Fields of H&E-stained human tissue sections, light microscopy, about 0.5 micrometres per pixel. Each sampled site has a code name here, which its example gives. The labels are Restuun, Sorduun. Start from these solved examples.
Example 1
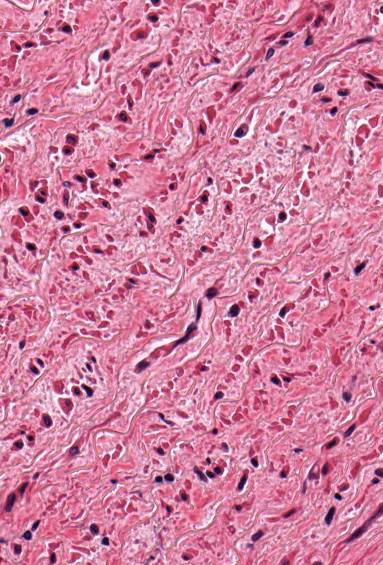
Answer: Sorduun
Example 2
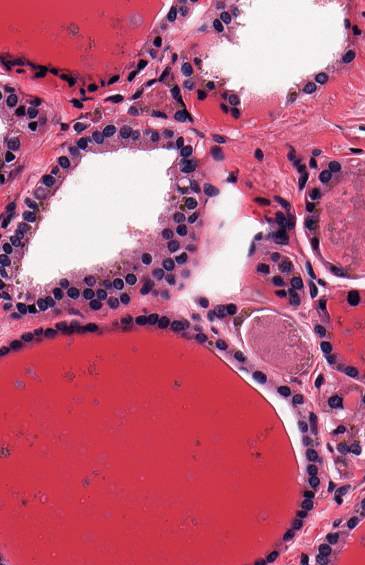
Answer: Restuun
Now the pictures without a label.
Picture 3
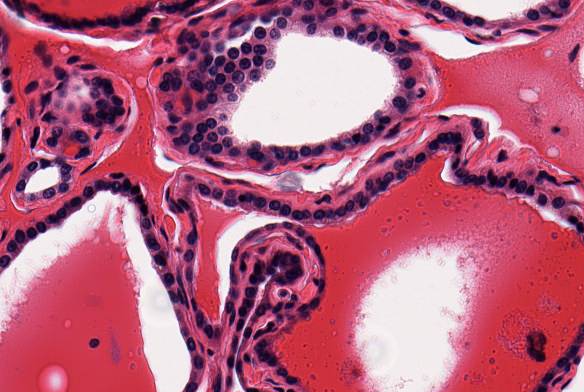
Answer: Restuun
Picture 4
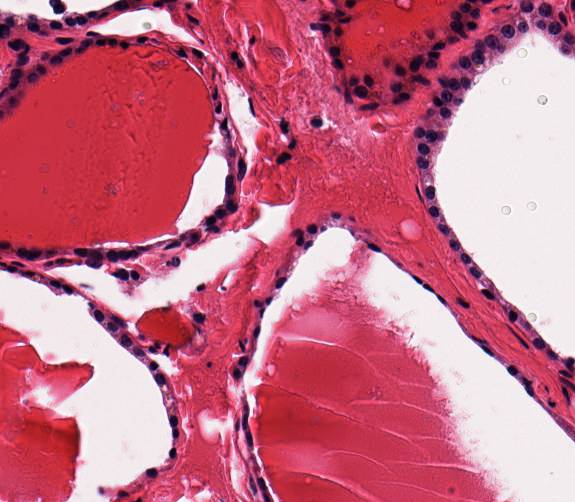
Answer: Restuun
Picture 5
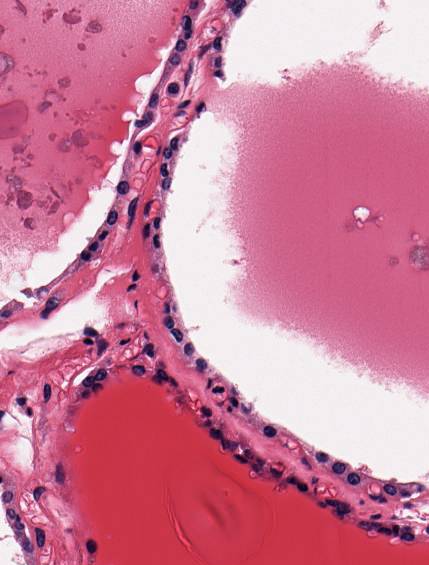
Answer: Restuun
